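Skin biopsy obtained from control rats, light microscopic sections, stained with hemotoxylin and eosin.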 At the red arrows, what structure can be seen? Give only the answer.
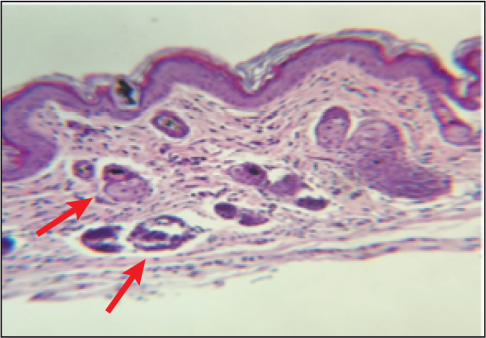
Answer: Hair follicles.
